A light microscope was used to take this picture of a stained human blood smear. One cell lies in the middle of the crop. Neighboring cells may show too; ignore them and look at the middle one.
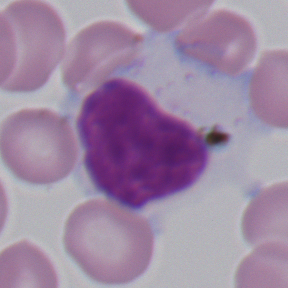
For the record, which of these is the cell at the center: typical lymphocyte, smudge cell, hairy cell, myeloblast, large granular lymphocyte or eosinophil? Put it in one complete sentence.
Here the cell in the middle is a large granular lymphocyte.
